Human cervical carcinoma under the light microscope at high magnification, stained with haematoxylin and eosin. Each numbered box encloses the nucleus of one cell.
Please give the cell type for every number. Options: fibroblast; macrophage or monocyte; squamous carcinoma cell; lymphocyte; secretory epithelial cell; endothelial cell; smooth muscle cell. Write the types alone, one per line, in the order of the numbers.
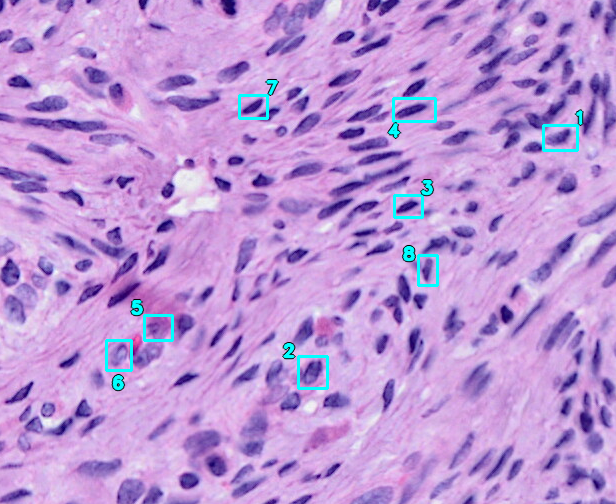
fibroblast
endothelial cell
fibroblast
fibroblast
endothelial cell
endothelial cell
fibroblast
fibroblast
